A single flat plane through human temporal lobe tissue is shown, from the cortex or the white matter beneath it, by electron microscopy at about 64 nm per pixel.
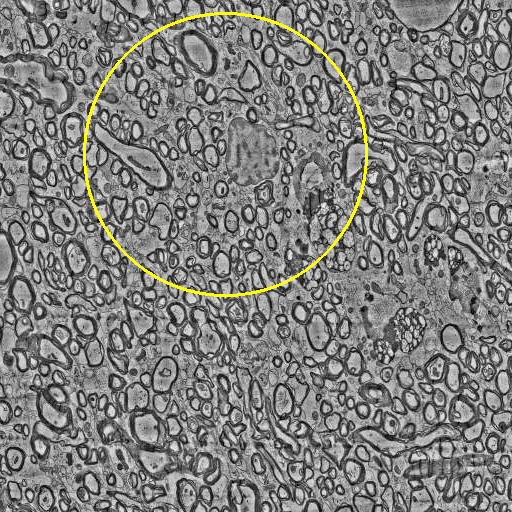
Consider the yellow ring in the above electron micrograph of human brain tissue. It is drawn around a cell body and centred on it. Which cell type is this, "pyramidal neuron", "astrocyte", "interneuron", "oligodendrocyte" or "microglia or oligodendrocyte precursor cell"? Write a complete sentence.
The cell in question is a microglial cell or oligodendrocyte precursor cell.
